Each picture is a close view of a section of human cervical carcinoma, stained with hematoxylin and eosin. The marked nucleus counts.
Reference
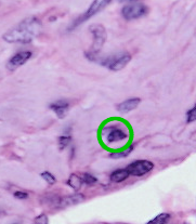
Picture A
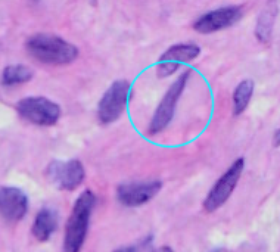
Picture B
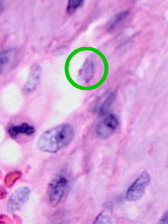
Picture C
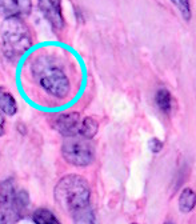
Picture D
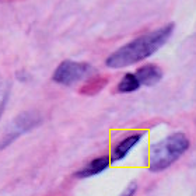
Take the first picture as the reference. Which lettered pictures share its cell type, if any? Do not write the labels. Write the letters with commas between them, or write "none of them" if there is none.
none of them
